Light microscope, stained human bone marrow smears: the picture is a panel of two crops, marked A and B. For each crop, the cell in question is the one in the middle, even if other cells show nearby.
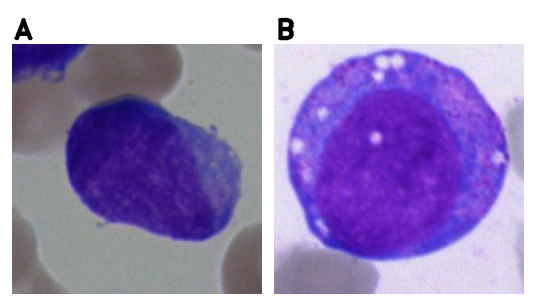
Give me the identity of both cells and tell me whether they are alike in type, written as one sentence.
Yes, both crops depict blasts at the centre.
